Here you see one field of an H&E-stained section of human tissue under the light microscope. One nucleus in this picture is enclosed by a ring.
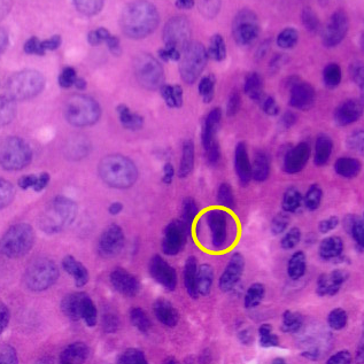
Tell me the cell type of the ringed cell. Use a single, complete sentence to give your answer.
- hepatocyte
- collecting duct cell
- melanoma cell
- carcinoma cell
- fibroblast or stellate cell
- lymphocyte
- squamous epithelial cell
Labelled by cell type, the ringed cell is a squamous epithelial cell.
